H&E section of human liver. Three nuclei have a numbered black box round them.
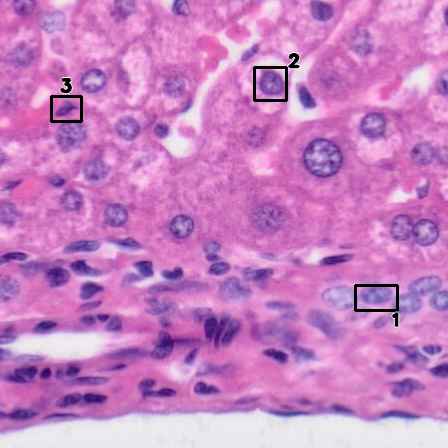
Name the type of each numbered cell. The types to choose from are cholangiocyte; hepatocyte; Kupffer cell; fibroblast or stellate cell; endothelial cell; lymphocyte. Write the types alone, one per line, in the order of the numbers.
cholangiocyte
hepatocyte
fibroblast or stellate cell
